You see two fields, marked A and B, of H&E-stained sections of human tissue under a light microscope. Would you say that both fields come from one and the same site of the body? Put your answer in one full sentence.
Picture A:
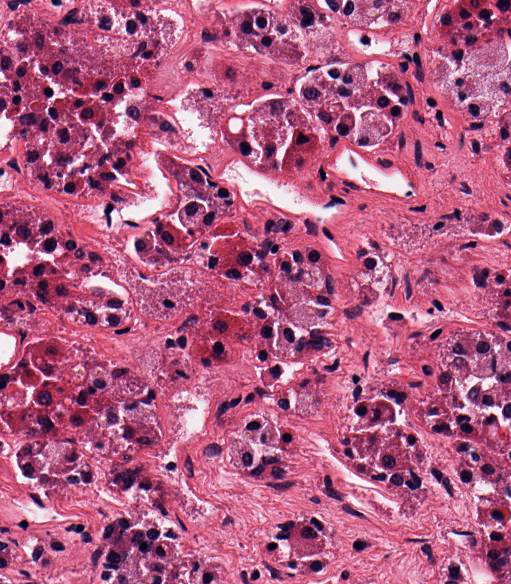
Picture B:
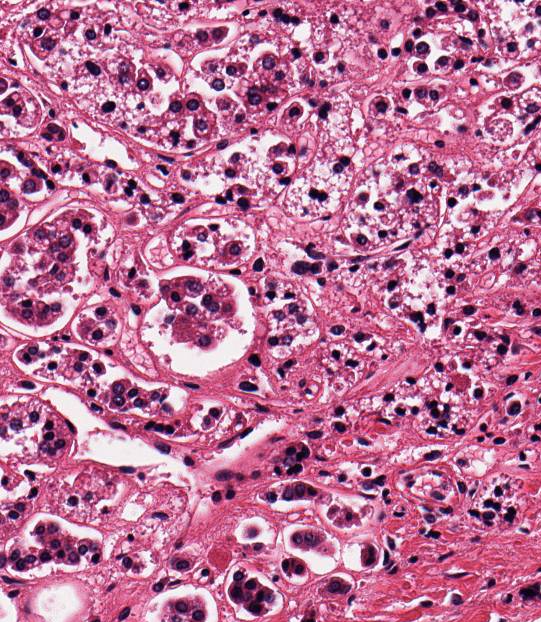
No, picture A comes from the pituitary and picture B comes from the adrenal gland.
